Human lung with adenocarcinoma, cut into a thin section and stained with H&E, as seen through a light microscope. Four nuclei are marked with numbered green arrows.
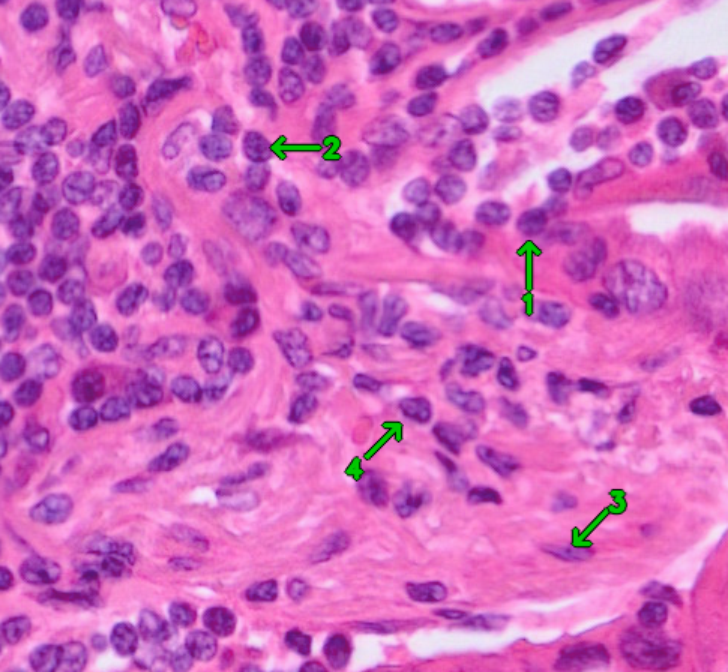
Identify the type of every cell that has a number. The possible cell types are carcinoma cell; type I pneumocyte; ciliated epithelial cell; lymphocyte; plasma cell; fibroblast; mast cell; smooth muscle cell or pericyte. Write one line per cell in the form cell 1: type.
cell 1: lymphocyte
cell 2: lymphocyte
cell 3: smooth muscle cell or pericyte
cell 4: lymphocyte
